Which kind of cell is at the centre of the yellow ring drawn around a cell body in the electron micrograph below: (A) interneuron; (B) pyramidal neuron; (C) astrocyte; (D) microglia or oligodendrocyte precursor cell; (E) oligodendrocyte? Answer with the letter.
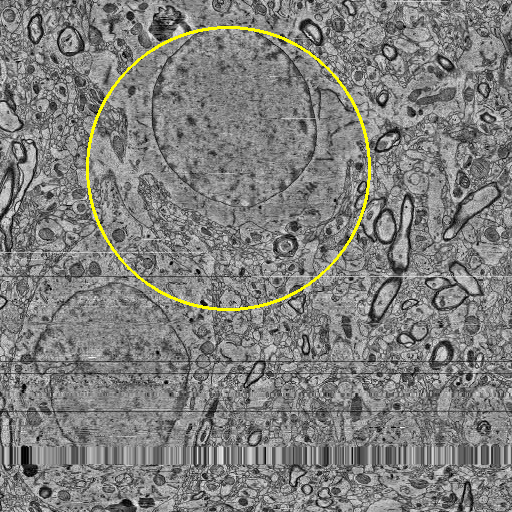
C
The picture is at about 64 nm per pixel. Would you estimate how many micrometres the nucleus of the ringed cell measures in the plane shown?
About 12 micrometres by about 10 micrometres in this plane.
